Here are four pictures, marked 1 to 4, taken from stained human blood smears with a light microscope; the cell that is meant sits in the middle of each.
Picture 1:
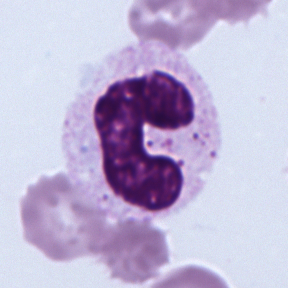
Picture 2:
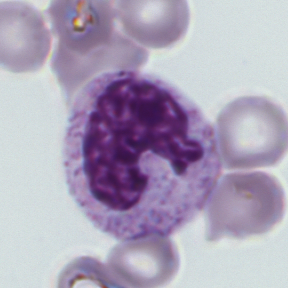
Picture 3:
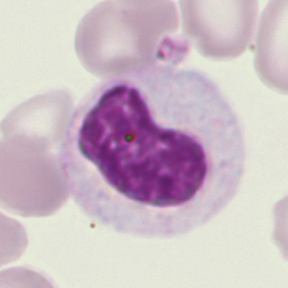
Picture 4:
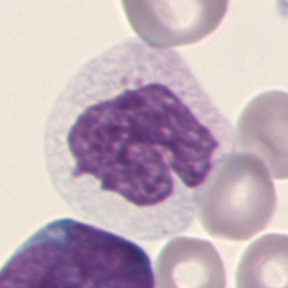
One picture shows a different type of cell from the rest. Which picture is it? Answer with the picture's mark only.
3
